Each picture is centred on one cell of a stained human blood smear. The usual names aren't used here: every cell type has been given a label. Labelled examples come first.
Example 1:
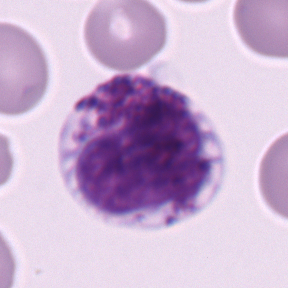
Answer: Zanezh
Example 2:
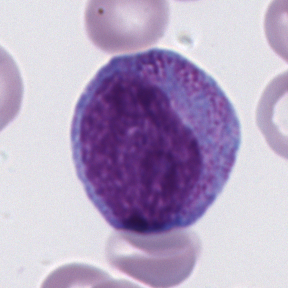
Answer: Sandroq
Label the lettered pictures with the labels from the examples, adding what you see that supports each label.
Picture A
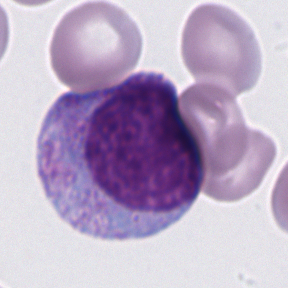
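Sandroq. Evidence: Fine purple-red granules are scattered throughout the cytoplasm.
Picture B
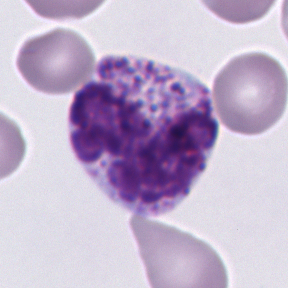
Zanezh. Evidence: The cytoplasm holds scattered coarse dark blue-purple granules.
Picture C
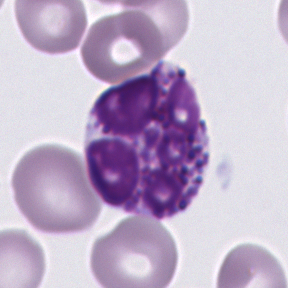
Zanezh. Evidence: Only a small amount of pale pinkish cytoplasm shows between the nuclear lobes.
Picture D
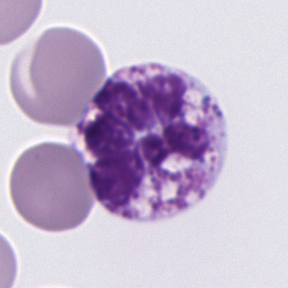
Zanezh. Evidence: The cytoplasm is pale and almost colourless.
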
